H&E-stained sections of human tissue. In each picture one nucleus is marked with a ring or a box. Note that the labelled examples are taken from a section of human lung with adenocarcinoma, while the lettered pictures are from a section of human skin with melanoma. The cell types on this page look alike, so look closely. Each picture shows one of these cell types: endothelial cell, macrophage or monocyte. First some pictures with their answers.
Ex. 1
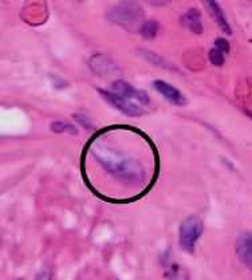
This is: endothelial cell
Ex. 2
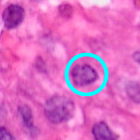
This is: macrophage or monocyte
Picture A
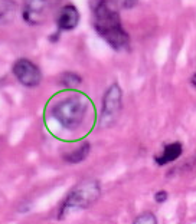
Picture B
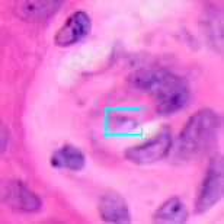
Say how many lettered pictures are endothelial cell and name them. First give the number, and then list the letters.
2: A, B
